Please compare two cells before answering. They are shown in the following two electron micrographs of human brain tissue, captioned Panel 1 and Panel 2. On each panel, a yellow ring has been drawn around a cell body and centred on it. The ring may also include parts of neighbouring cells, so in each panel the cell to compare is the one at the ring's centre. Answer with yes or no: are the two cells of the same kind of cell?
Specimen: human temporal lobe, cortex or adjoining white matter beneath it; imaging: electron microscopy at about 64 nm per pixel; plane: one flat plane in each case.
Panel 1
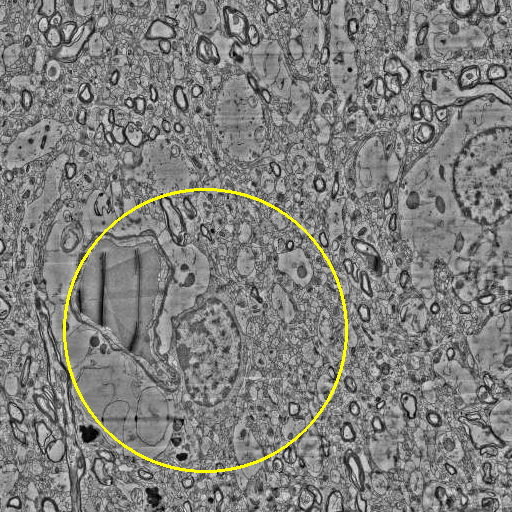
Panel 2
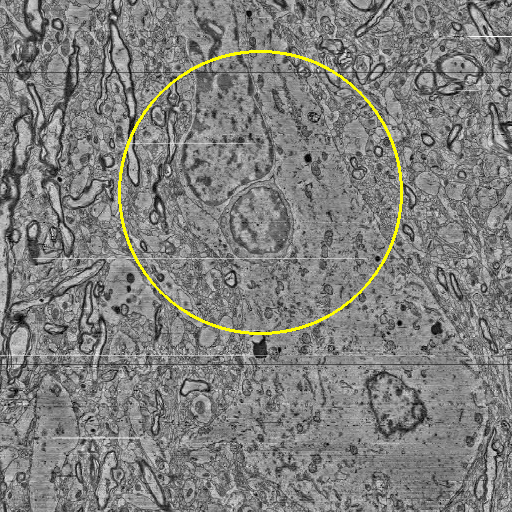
yes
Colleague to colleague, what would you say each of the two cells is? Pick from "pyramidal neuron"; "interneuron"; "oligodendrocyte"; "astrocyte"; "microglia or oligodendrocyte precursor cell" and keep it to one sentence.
Each of the ringed cells, first and second, is an oligodendrocyte.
